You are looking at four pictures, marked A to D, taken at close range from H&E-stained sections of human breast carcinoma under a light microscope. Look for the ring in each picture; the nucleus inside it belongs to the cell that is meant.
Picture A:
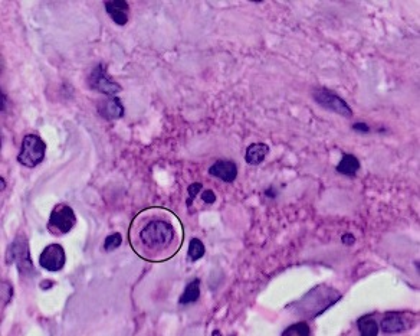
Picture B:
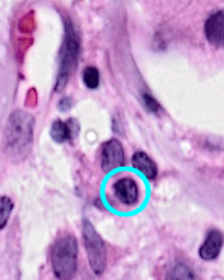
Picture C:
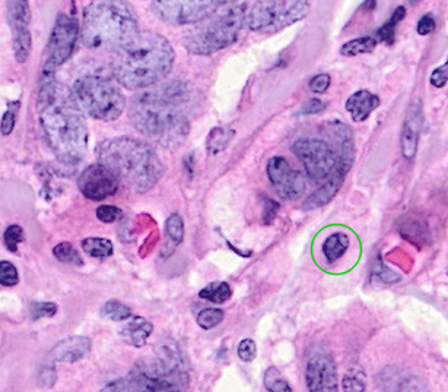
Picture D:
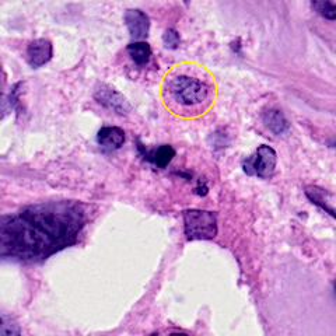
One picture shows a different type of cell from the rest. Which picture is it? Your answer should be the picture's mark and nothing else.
B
